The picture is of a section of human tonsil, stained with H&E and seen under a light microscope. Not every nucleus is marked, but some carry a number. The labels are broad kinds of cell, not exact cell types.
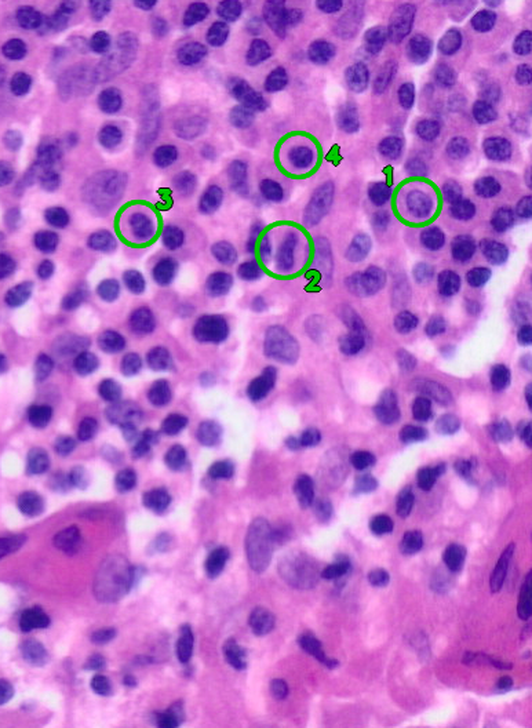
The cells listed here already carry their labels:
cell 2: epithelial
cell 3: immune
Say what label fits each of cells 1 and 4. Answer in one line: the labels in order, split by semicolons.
immune; immune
